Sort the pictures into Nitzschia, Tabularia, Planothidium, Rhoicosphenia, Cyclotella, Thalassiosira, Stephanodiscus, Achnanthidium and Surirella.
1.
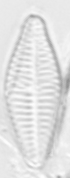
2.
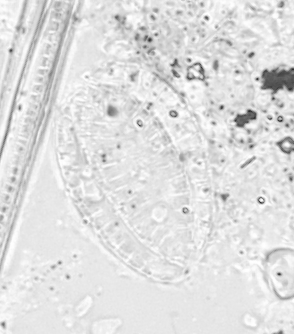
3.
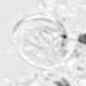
Planothidium: 1
Surirella: 2
Thalassiosira: 3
